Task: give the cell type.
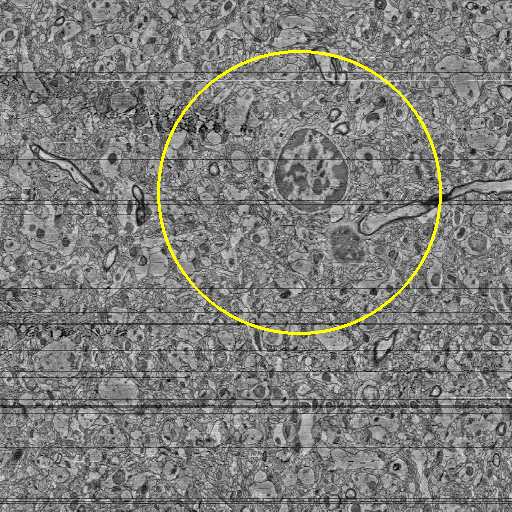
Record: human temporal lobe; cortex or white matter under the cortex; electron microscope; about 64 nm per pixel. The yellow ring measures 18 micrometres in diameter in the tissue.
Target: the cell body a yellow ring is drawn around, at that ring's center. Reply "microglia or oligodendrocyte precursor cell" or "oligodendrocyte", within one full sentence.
In this picture, the cell whose body lies at the ring's center is a microglial cell or oligodendrocyte precursor cell.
